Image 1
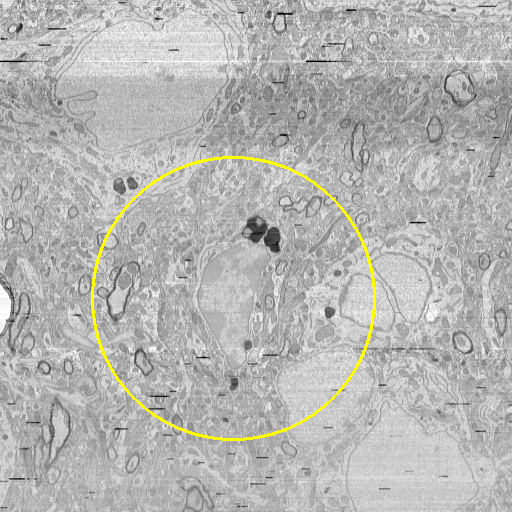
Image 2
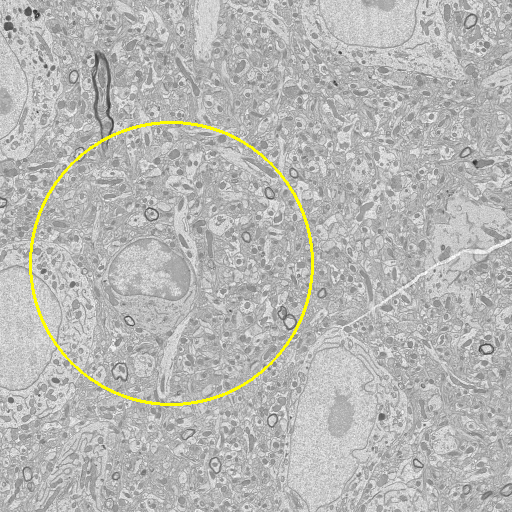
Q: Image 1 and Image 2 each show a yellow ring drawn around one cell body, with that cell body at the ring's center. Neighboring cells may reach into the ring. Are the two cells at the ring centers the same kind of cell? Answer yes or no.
no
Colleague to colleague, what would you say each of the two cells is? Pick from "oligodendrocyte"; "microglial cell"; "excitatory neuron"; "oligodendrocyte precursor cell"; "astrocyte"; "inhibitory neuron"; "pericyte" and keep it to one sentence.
The cell in the first picture is a microglial cell; the second picture's cell is an oligodendrocyte.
